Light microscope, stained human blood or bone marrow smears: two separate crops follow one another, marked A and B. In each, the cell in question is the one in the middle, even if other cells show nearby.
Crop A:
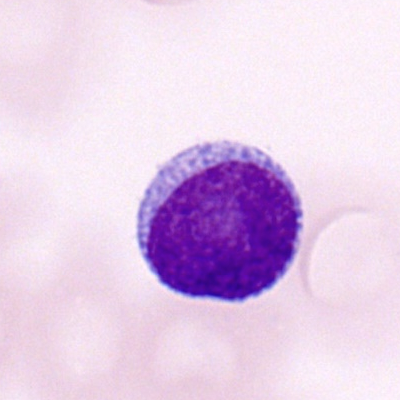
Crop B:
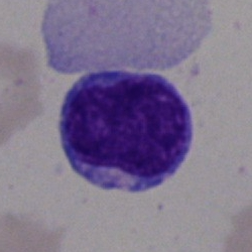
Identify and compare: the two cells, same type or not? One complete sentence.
No, crop A shows a lymphocyte, whereas a blast is what crop B shows.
